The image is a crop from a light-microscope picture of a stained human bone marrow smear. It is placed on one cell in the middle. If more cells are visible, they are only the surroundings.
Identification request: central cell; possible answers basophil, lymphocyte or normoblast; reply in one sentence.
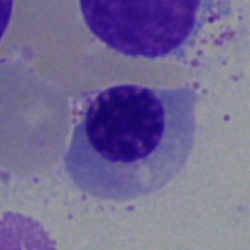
Answering briefly, the cell in the middle is a normoblast.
